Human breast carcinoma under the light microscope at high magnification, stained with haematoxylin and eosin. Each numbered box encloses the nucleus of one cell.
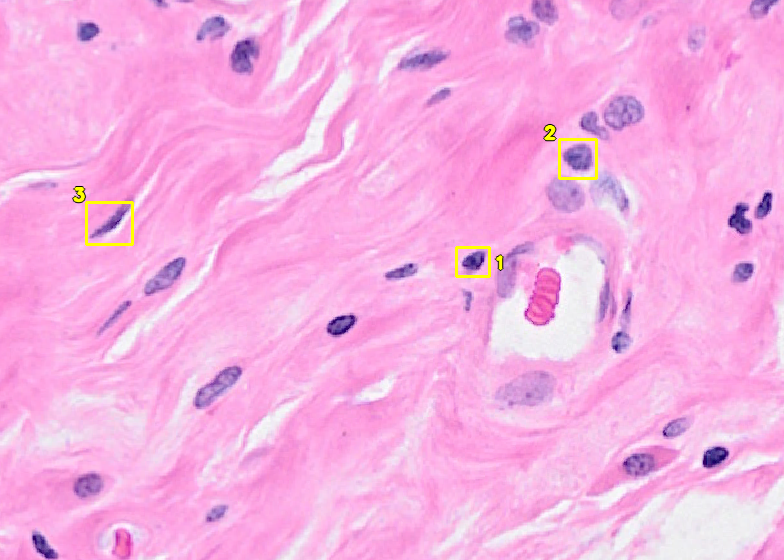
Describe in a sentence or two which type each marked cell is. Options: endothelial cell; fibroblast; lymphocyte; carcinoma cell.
Cells 1 and 2 are lymphocytes. Cell 3 is a fibroblast.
